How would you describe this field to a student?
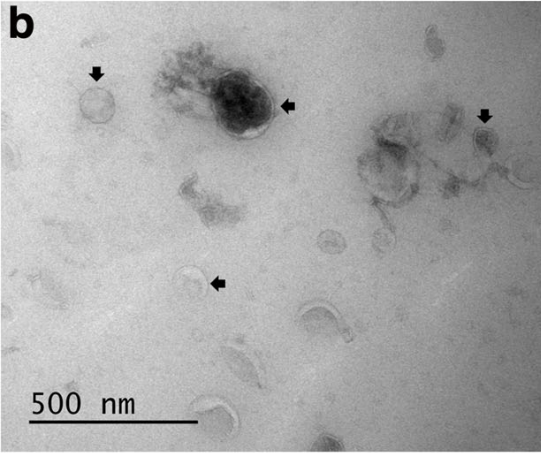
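On a grey background lie small round and cup-shaped membrane-bound vesicles of varying size, some isolated and some in a darker clump with fluffy material. Their rims carry no tiny black dots.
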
